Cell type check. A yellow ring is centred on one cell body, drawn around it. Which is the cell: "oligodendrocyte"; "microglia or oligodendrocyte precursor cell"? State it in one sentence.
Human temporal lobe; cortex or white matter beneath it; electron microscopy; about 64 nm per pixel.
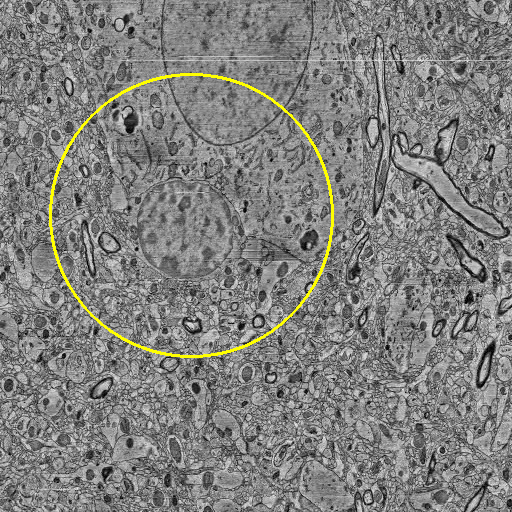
The cell body at the ring's centre belongs to an oligodendrocyte.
